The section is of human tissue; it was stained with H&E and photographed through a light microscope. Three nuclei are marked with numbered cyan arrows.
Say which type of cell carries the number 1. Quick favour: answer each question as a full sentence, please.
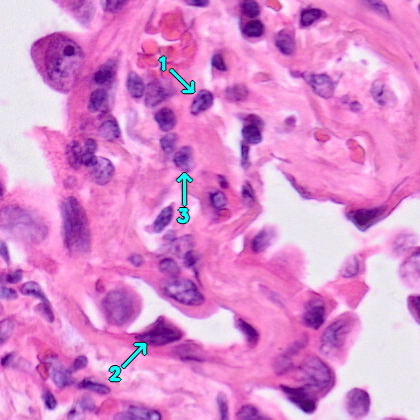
Heads up, the cell numbered 1 is a lymphocyte.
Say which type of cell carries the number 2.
The marked cell bearing number 2 is a carcinoma cell.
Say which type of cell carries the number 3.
The label 3 in this section denotes a lymphocyte.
